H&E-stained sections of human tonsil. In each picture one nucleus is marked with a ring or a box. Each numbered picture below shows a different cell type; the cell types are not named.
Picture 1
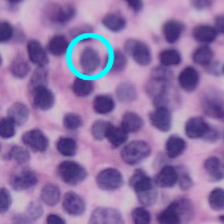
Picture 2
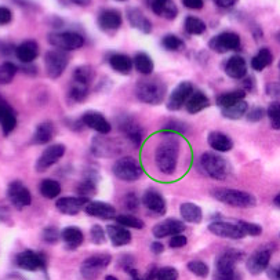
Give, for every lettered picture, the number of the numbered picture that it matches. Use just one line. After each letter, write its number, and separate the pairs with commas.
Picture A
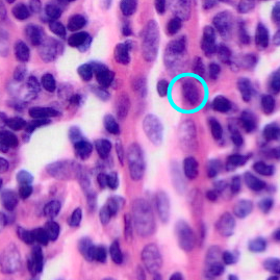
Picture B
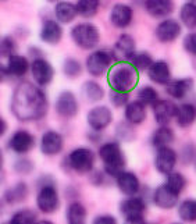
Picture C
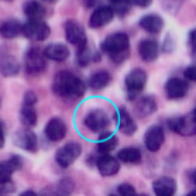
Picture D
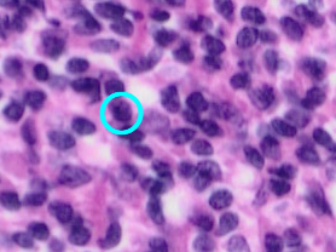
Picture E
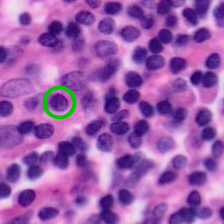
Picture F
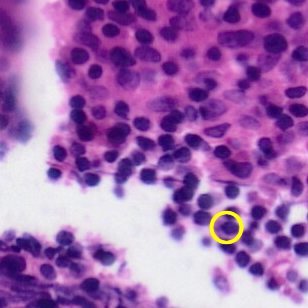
A 2, B 1, C 1, D 1, E 2, F 1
